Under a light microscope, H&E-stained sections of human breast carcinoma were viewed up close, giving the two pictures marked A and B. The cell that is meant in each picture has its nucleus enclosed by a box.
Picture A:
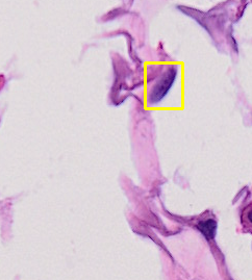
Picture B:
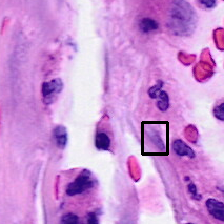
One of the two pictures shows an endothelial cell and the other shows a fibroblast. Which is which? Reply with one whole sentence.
Picture A shows a fibroblast and picture B shows an endothelial cell.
